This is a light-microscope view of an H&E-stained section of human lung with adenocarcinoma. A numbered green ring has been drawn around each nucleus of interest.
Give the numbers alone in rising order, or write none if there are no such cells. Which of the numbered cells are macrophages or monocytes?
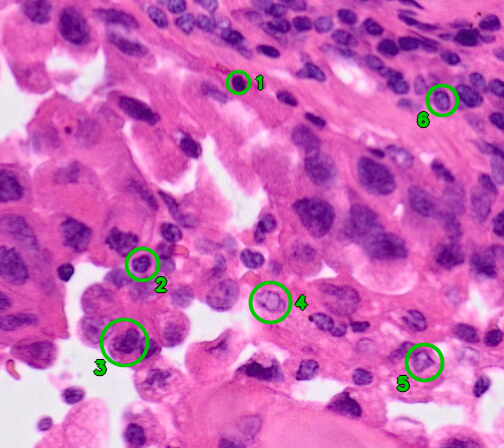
4, 5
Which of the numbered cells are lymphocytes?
1, 2, 6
